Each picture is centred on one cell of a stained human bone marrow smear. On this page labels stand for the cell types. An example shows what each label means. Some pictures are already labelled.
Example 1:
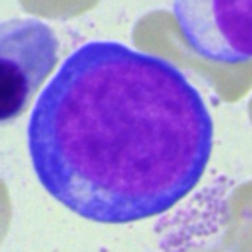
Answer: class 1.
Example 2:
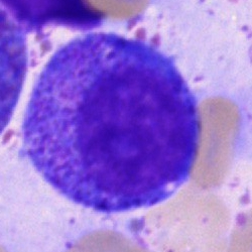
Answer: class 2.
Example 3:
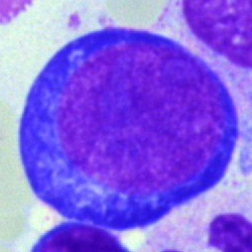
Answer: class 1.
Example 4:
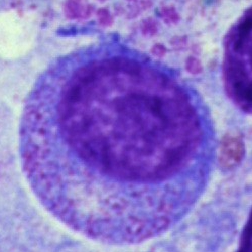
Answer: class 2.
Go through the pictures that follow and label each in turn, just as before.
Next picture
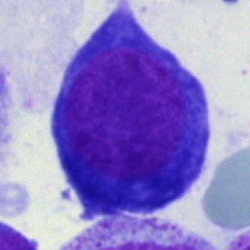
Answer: class 1.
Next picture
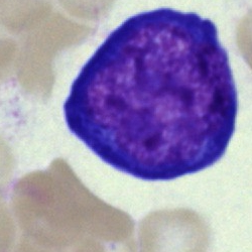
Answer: class 1.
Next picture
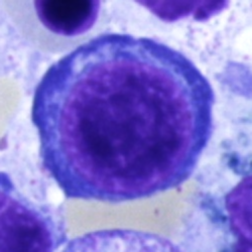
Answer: class 1.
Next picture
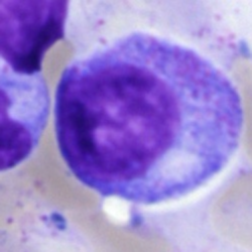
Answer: class 2.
